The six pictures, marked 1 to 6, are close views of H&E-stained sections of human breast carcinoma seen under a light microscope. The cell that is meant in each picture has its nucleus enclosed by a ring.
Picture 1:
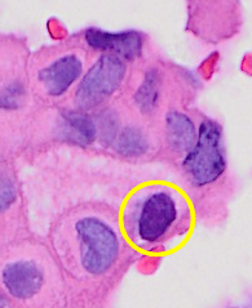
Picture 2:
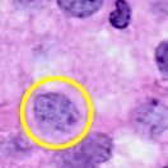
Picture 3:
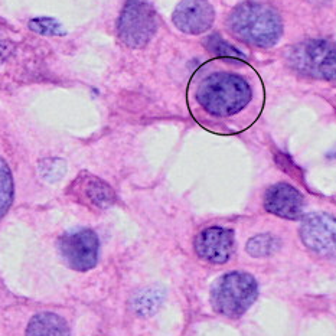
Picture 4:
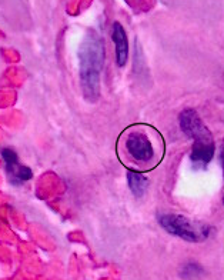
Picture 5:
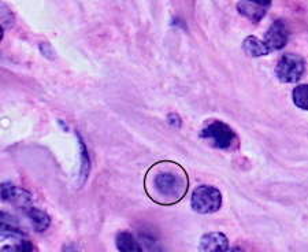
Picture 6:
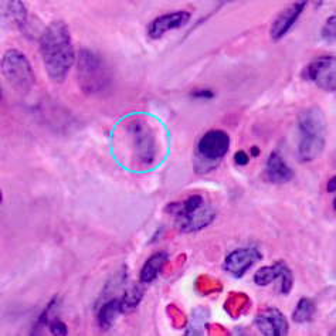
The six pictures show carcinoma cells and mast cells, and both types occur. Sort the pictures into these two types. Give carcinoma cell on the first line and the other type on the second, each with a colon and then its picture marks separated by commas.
carcinoma cell: 1, 2, 3
mast cell: 4, 5, 6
